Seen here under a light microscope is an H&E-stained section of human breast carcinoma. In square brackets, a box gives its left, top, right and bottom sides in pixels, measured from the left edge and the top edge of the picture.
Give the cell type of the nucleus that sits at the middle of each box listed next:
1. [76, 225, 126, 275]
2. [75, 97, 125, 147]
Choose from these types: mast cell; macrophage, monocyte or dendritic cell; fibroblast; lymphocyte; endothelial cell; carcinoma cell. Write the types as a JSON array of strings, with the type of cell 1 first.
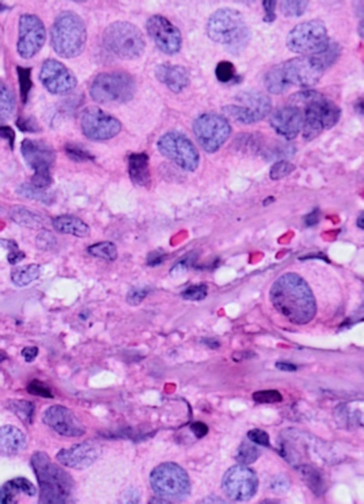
["macrophage, monocyte or dendritic cell", "carcinoma cell"]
